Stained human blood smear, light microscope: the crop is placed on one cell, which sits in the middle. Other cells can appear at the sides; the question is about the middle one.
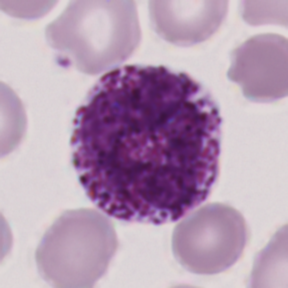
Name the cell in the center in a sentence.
In this crop, the cell at the very middle is a basophil.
